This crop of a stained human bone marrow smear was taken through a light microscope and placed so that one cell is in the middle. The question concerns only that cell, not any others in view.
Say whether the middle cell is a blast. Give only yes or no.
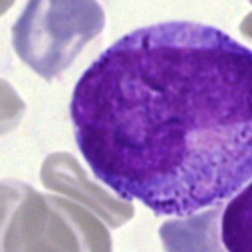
no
